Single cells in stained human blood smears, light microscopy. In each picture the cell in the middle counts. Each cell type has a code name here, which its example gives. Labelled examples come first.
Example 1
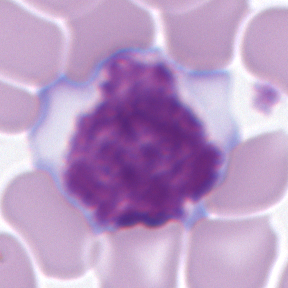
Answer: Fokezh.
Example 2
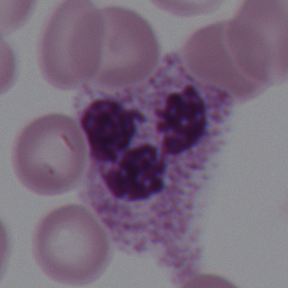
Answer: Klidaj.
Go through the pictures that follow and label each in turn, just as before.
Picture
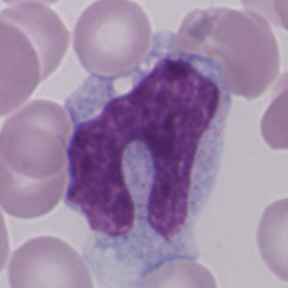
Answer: Fokezh.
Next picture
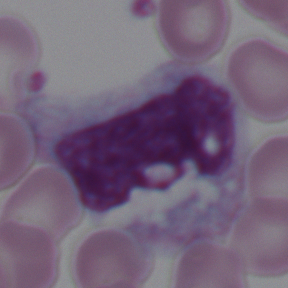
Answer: Fokezh.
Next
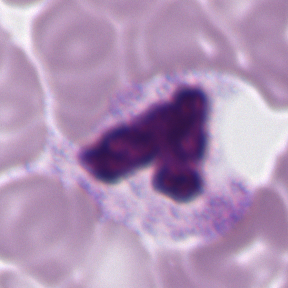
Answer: Klidaj.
